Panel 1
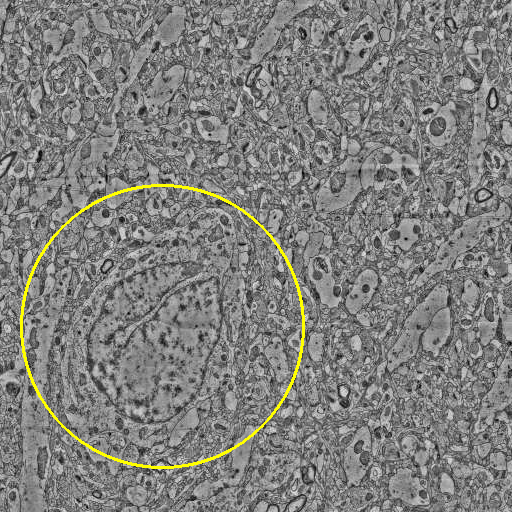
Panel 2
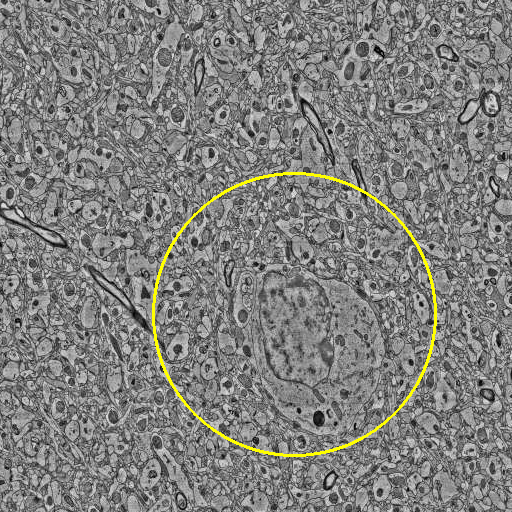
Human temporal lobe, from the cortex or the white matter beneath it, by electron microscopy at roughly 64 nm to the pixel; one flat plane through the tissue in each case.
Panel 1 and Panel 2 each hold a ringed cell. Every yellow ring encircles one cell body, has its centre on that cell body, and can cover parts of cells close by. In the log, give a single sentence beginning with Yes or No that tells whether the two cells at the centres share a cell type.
Yes, in Panel 1 and Panel 2 the centred cells share a cell type.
